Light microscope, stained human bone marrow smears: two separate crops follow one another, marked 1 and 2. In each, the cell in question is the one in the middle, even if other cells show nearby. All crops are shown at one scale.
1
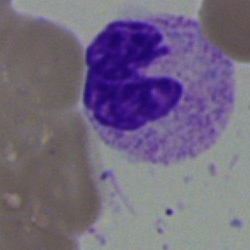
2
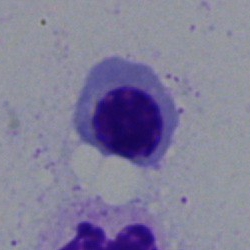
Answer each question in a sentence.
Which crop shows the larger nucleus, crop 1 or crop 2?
The nucleus in crop 1 is larger, with about 2 times the area of the one in crop 2.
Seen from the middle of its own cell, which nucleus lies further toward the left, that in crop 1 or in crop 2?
Seen within its cell, the nucleus in crop 1 lies further toward the left.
